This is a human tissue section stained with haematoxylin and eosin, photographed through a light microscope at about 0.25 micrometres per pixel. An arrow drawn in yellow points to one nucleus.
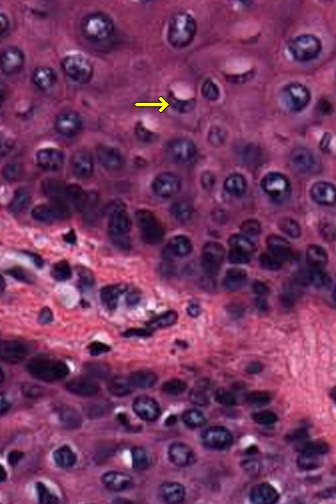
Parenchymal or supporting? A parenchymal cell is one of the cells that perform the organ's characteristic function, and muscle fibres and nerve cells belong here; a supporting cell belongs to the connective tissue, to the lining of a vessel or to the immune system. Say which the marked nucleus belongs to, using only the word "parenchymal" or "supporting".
parenchymal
